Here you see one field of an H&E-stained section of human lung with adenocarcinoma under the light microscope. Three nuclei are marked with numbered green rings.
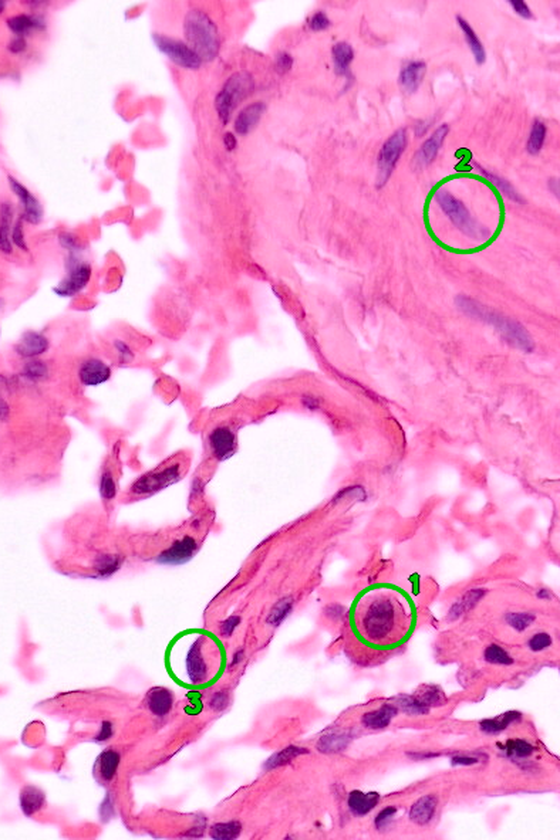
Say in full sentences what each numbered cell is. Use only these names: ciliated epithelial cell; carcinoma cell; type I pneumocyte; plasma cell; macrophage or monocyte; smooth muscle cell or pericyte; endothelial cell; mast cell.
Cell 1 is a macrophage or monocyte, cell 2 is a smooth muscle cell or pericyte and cell 3 is a type I pneumocyte.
